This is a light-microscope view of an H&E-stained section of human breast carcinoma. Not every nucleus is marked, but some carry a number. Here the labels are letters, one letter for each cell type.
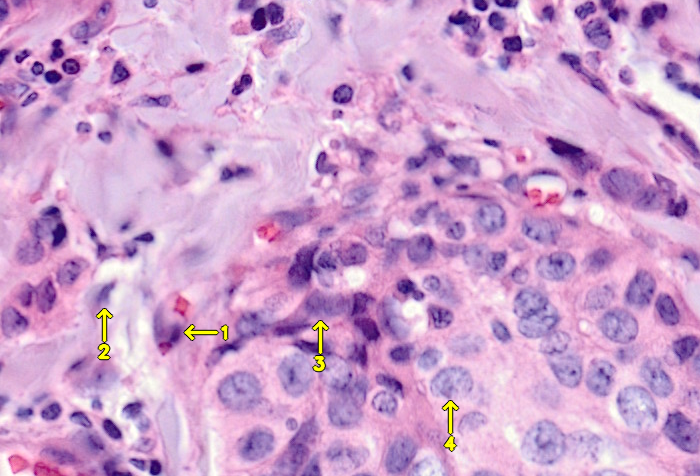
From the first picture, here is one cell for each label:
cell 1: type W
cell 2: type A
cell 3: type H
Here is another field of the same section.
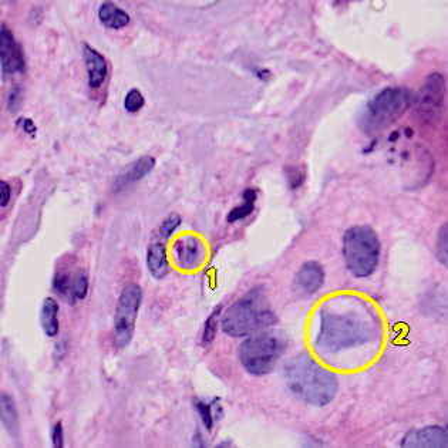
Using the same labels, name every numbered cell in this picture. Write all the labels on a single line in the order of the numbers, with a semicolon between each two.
type W; type H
